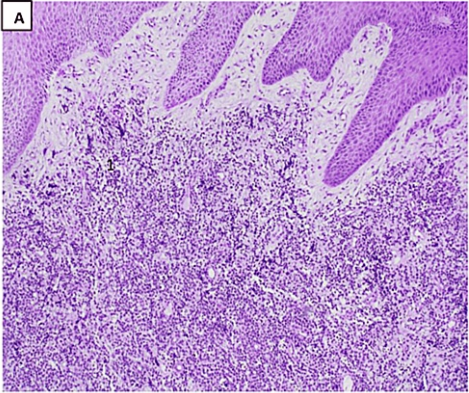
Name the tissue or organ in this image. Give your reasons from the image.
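Squamous epithelial lining. A stratified epithelium with downward rete ridges runs along the top. Dense sheets of small dark cells fill the tissue beneath the epithelium.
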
